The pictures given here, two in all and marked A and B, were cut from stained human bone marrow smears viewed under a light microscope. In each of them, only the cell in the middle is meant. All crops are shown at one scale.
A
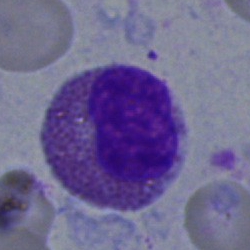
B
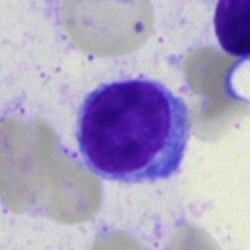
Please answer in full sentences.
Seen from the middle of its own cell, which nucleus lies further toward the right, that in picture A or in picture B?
In picture A the nucleus is shifted more toward the right.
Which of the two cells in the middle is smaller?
The cell in picture B is smaller; the one in picture A has about 1.5 times its area.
